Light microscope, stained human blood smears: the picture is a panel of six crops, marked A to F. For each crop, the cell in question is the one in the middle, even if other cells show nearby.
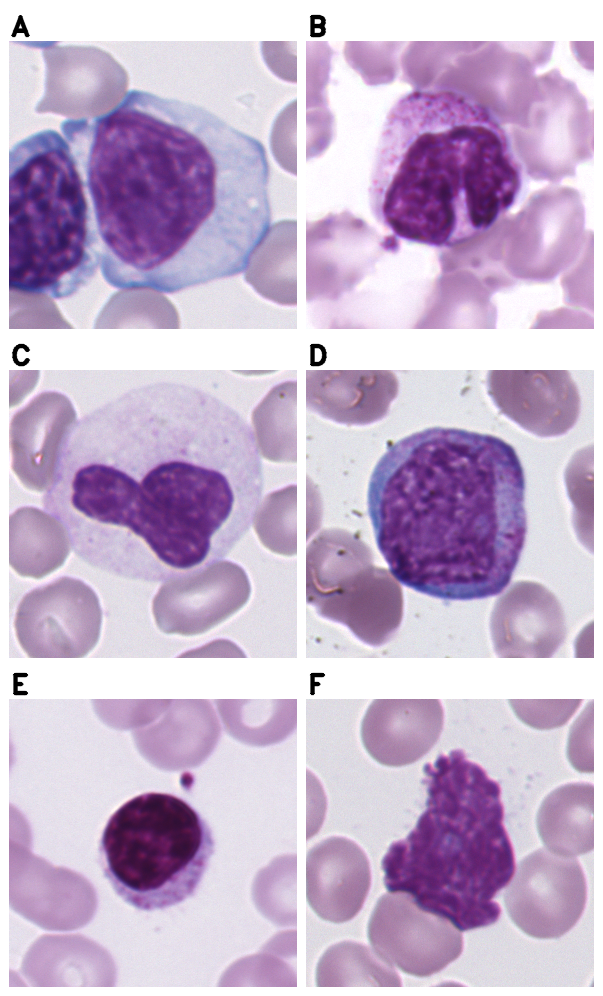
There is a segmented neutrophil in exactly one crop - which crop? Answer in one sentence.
The one showing a segmented neutrophil is the crop labelled C.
